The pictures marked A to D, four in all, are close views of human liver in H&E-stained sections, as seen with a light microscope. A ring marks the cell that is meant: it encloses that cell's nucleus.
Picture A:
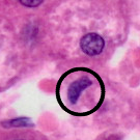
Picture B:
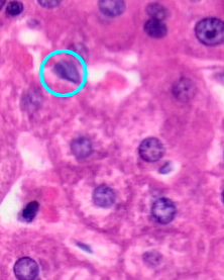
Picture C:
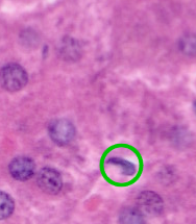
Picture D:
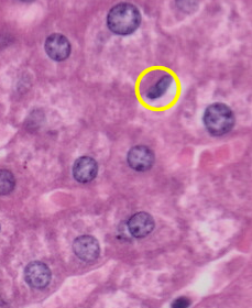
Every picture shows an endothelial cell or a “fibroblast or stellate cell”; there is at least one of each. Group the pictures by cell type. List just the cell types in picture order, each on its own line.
fibroblast or stellate cell
endothelial cell
endothelial cell
endothelial cell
